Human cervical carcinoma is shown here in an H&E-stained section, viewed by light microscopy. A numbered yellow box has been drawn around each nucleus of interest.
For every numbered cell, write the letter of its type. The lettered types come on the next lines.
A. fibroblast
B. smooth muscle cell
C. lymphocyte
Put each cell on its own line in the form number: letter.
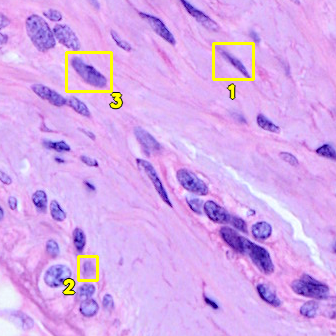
1: A
2: B
3: A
